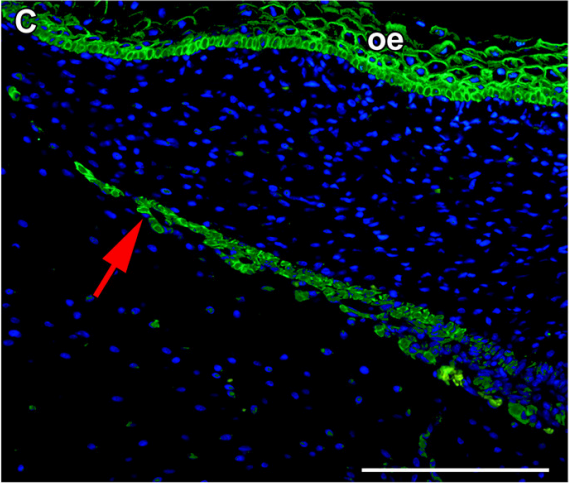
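At the top lies a stratified surface epithelium whose cells are outlined in bright green, over a loose connective tissue with scattered, elongated blue nuclei. Below it, separated by connective tissue, a narrow oblique strand of epithelial cells runs from upper left to lower right. The cells of this strand are also outlined in green, and the signal is patchy and strongest in small clusters along it. Toward the lower right the strand thickens into a denser band of cells with more crowded nuclei.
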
